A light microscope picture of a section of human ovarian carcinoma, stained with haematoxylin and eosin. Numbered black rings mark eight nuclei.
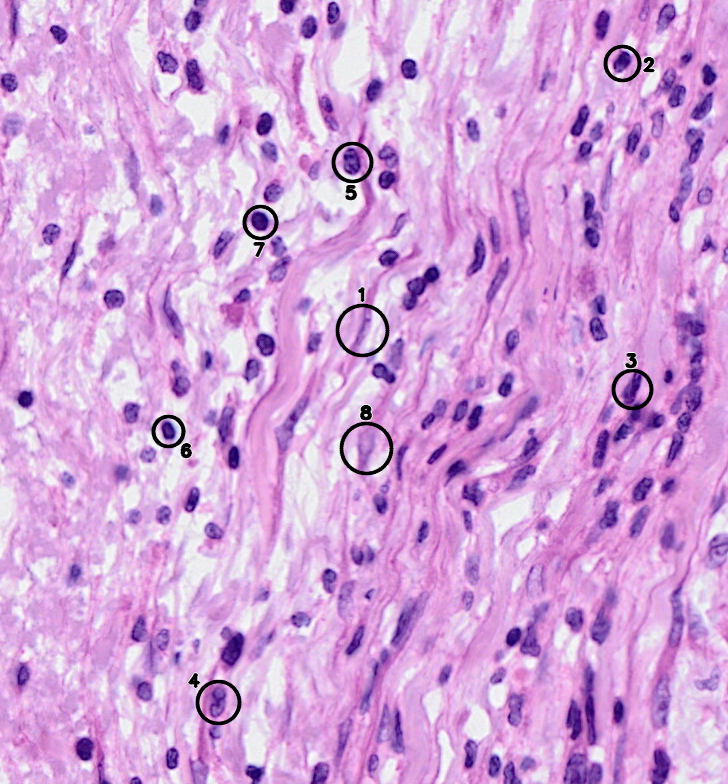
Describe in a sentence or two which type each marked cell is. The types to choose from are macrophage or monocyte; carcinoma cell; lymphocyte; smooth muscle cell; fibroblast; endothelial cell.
Cells 1 and 8 are fibroblasts. Cells 2, 3, 5, 6 and 7 are lymphocytes. Cell 4 is a macrophage or monocyte.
